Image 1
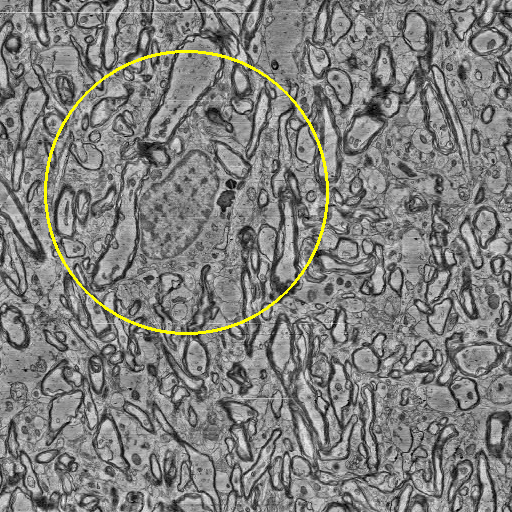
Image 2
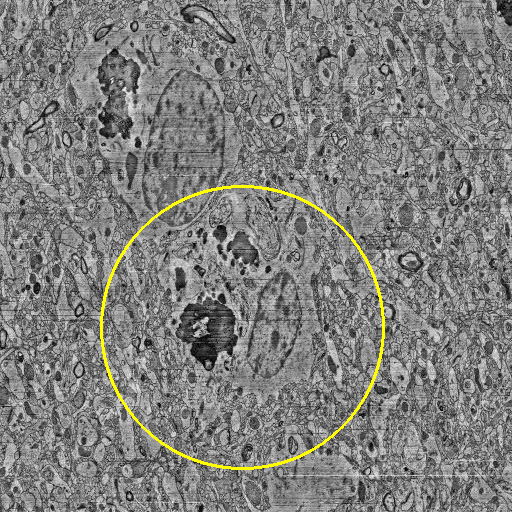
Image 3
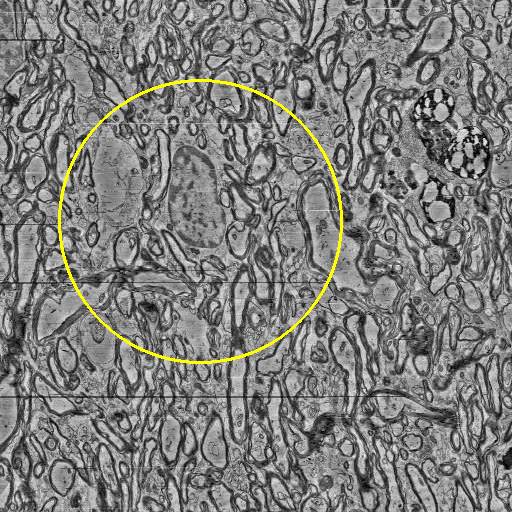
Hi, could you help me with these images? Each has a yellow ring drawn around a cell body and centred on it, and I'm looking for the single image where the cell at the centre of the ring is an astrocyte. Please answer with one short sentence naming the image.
It is Image 2 that has it at the centre of its ring.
